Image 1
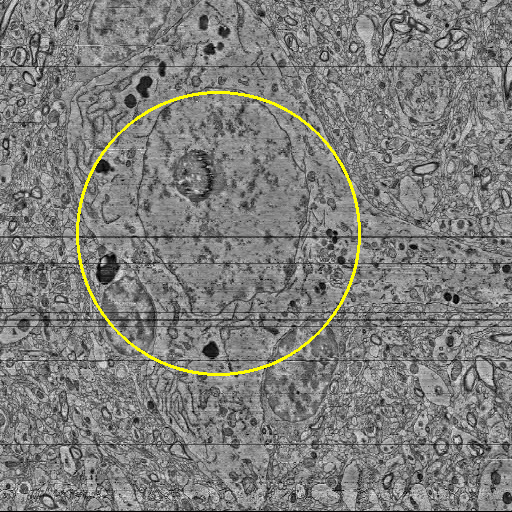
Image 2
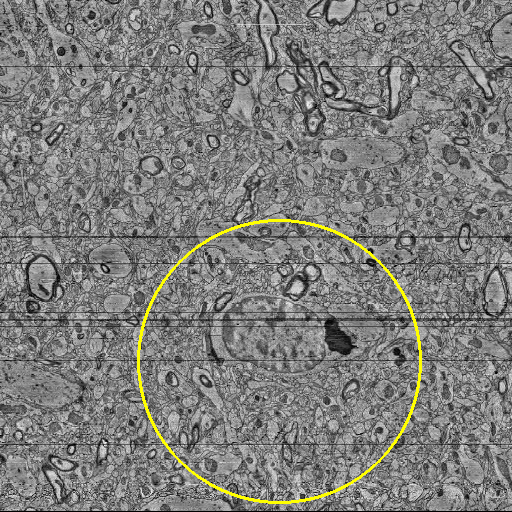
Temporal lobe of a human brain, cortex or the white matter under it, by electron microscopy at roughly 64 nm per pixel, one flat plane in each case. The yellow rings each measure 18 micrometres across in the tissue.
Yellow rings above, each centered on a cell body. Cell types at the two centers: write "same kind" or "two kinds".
two kinds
